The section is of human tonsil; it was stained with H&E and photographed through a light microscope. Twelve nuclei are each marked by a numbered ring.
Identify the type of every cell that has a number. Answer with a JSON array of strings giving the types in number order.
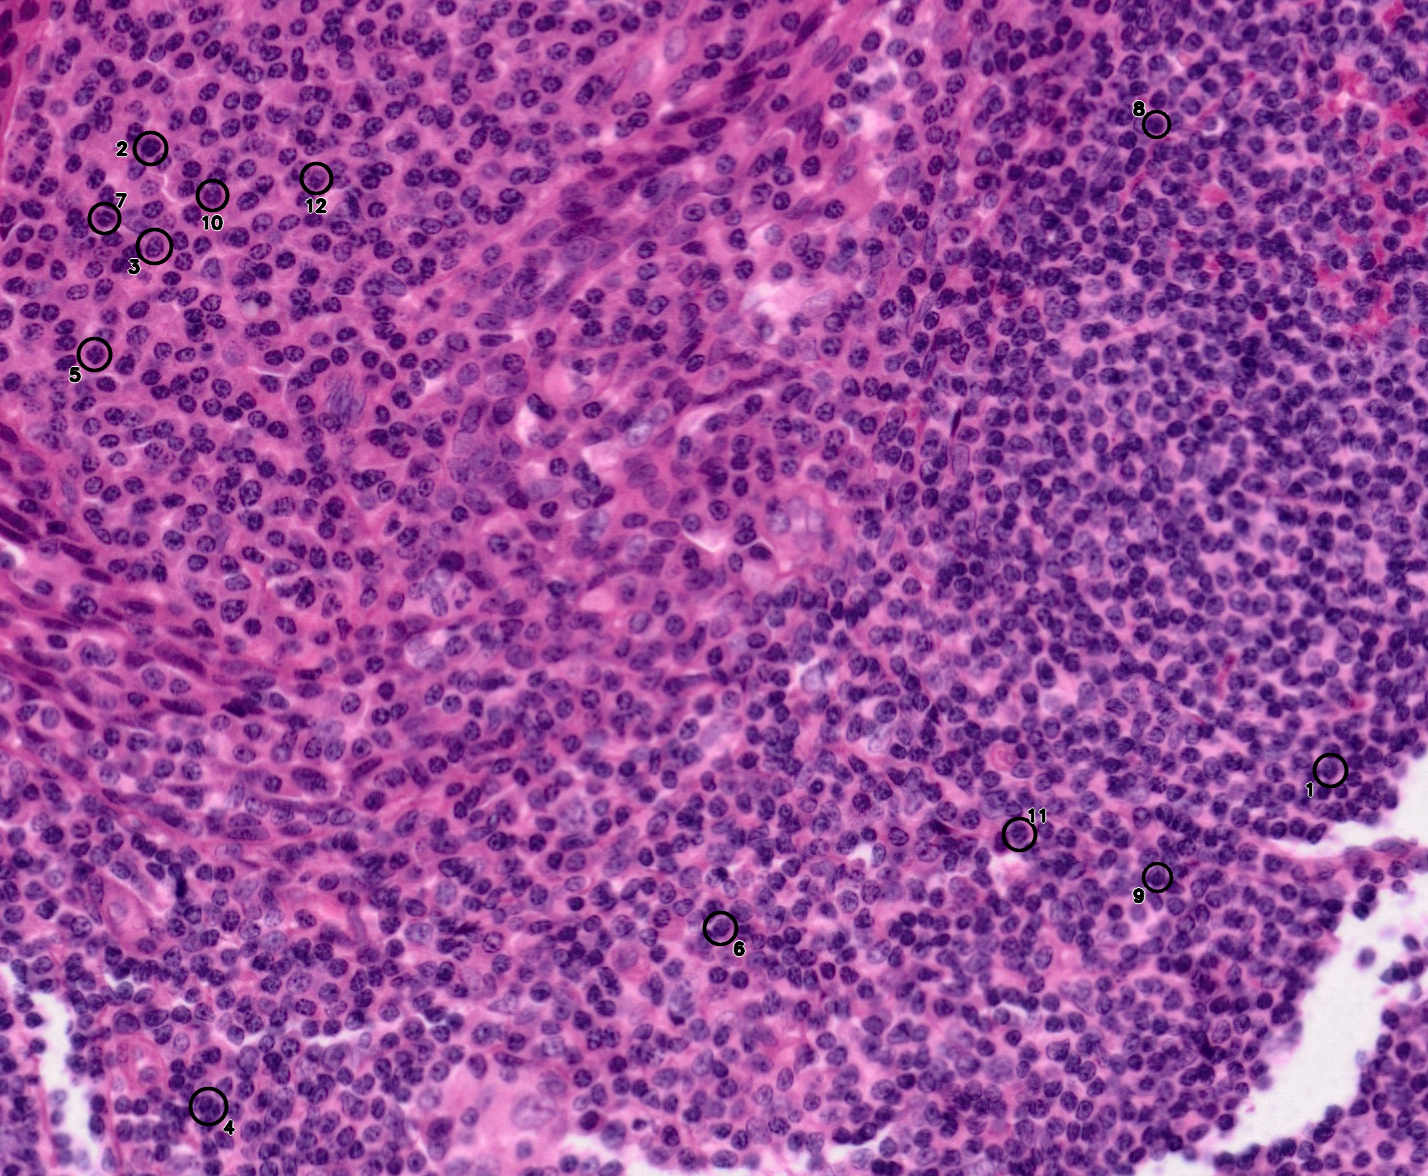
["small lymphocyte", "plasma cell", "plasma cell", "small lymphocyte", "plasma cell", "small lymphocyte", "plasma cell", "small lymphocyte", "small lymphocyte", "plasma cell", "small lymphocyte", "plasma cell"]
